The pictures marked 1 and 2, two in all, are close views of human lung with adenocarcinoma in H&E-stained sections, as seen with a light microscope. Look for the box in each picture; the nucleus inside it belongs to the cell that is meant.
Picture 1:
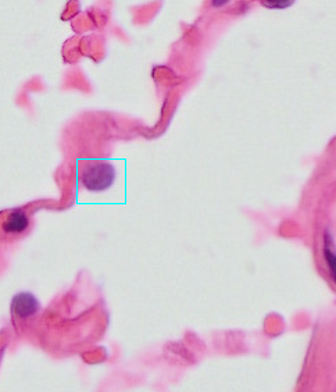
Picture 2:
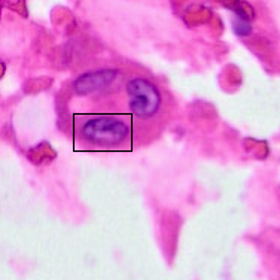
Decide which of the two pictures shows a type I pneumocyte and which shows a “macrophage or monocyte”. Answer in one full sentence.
Picture 2 shows a “macrophage or monocyte”, while picture 1 shows a type I pneumocyte.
